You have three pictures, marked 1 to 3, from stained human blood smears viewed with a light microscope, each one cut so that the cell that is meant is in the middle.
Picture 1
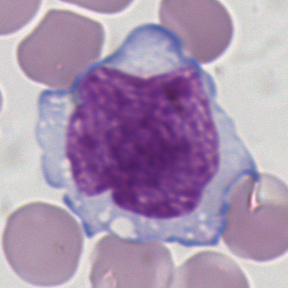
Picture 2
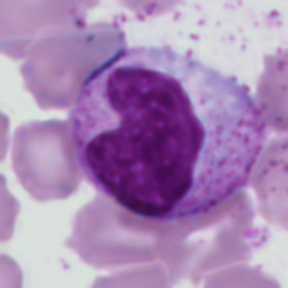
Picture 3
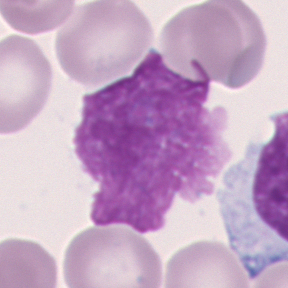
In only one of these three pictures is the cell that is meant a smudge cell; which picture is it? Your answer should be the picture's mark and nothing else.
3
